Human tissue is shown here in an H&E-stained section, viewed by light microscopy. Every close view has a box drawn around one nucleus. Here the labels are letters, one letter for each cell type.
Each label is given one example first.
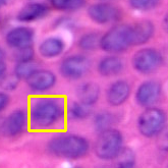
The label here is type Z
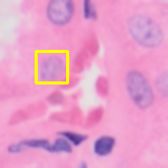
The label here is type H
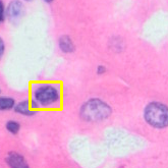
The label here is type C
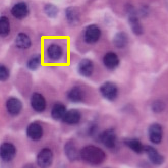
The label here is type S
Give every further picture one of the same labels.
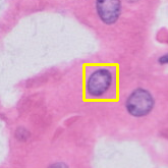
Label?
type H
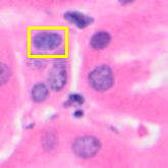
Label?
type C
